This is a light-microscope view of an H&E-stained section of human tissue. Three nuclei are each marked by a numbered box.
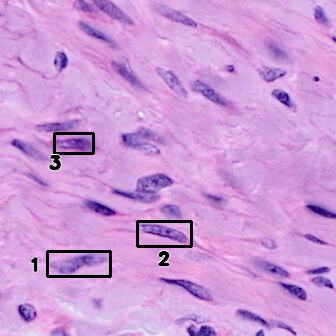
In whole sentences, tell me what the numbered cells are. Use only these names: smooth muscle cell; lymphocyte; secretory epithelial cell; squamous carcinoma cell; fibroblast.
Cell 1 is a fibroblast, cell 2 is a fibroblast and cell 3 is a smooth muscle cell.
